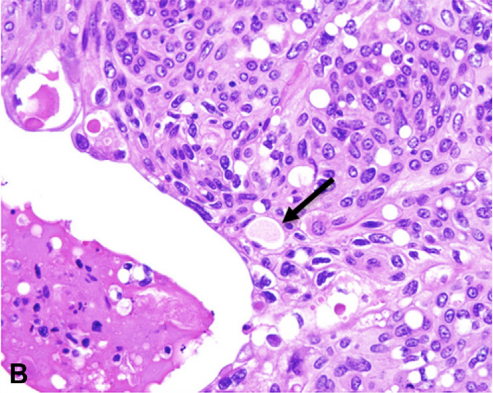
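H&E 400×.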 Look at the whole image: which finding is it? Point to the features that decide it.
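A large space at the left edge is filled with pink material. Scattered dark nuclear fragments and cells float in that material. The answer: cystic degeneration with necrotic debris.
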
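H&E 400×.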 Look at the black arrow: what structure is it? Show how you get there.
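The arrow points to a small round lumen among the tumor cells. The lumen holds pale pink material. So: microduct formation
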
